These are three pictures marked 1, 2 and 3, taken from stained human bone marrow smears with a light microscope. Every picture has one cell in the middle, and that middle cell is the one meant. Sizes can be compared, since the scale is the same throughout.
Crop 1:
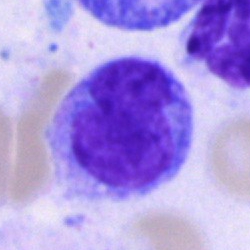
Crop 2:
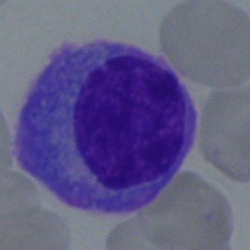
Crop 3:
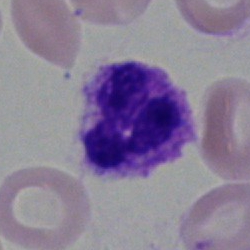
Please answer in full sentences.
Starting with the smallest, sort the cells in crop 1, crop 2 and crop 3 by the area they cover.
Smallest first: 3, 1, 2.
